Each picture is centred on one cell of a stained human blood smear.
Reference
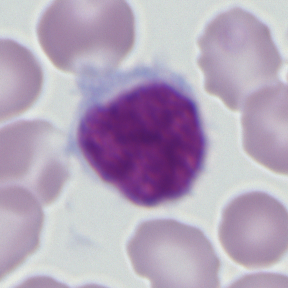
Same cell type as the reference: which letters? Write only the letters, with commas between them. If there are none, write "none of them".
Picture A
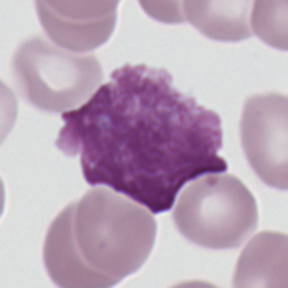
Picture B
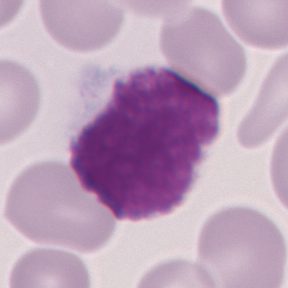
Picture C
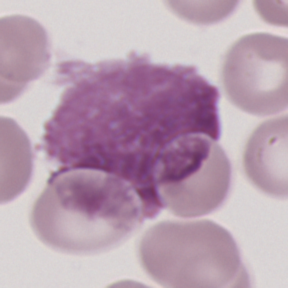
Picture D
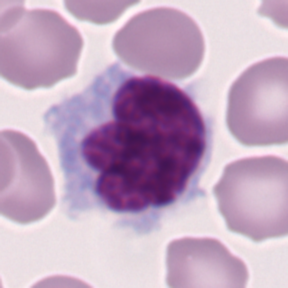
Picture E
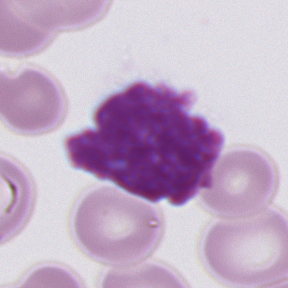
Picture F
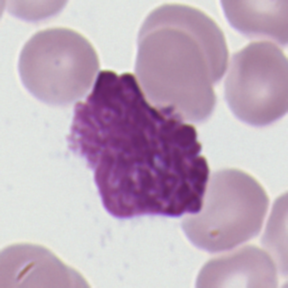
D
